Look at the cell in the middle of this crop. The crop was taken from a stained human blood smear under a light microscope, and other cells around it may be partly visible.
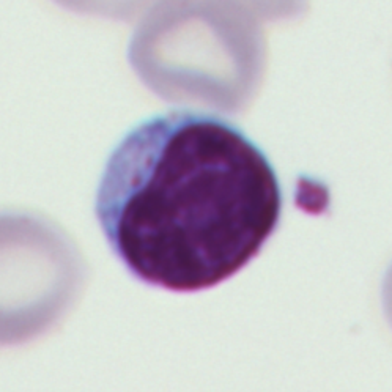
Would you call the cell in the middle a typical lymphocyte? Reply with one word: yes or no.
yes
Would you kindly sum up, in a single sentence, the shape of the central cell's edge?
You can see a smooth boundary, with no projections sticking out.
